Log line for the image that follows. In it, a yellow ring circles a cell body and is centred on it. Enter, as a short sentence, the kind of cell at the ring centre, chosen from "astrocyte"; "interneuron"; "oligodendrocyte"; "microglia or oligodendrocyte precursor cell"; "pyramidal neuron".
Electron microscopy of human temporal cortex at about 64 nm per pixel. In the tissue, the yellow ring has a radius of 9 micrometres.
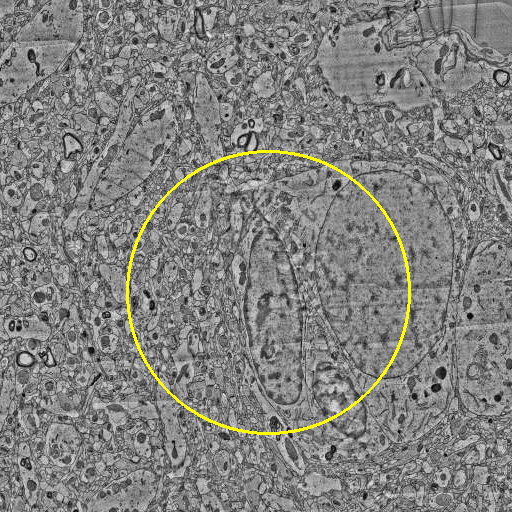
The ring centre is occupied by a microglial cell or oligodendrocyte precursor cell.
